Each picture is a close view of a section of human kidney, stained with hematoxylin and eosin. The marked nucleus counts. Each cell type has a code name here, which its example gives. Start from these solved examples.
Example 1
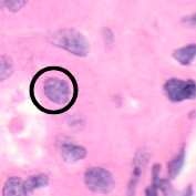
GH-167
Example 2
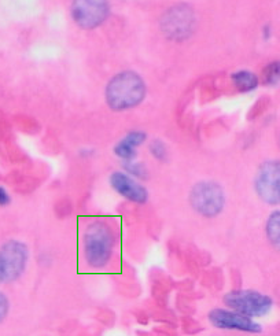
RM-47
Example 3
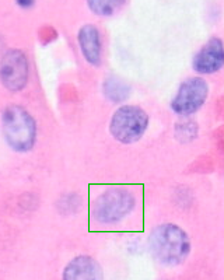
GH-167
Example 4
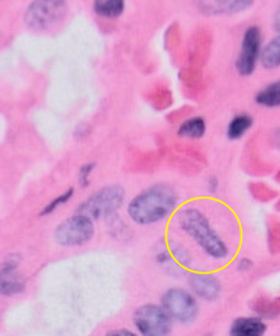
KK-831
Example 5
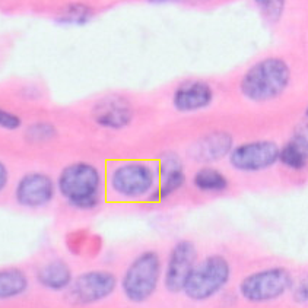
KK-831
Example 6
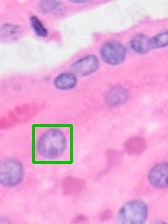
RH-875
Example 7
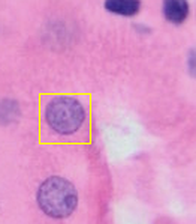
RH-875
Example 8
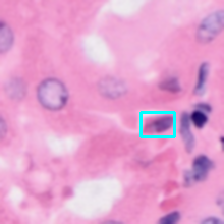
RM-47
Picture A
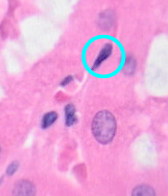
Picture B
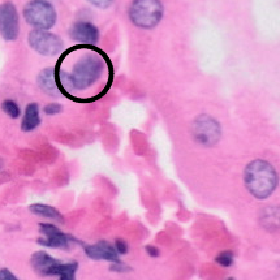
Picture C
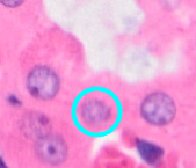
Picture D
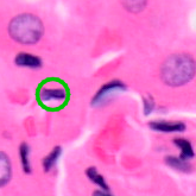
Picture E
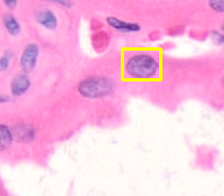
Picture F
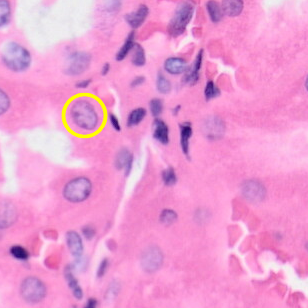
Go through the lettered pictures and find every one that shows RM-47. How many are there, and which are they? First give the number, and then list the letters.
2, namely A, D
